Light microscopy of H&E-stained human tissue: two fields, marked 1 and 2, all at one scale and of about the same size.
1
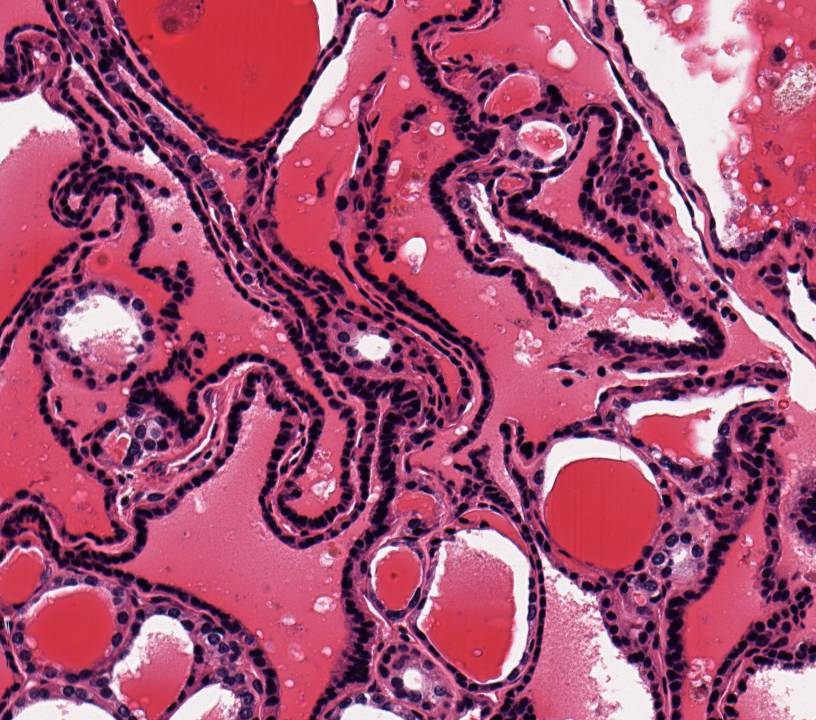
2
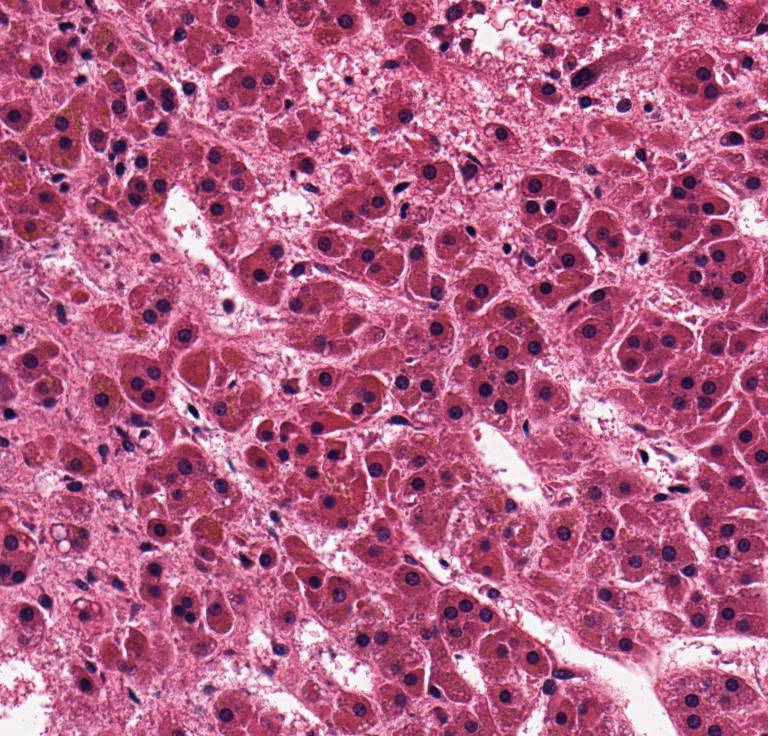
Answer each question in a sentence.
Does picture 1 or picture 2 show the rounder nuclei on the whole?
It is picture 2 whose nuclei are the rounder.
